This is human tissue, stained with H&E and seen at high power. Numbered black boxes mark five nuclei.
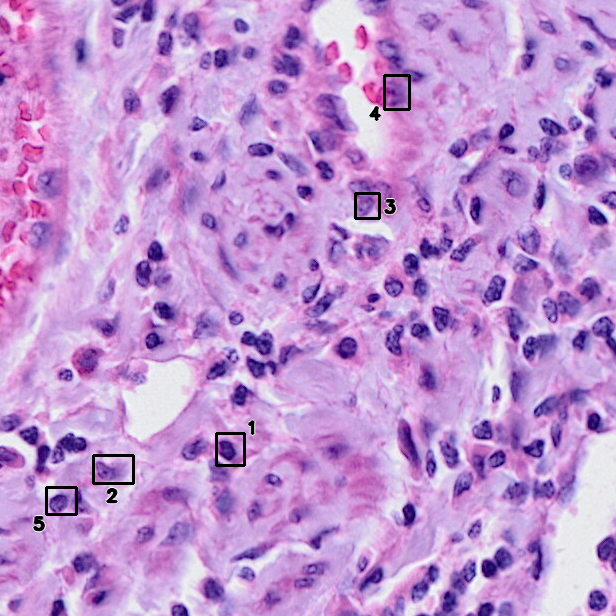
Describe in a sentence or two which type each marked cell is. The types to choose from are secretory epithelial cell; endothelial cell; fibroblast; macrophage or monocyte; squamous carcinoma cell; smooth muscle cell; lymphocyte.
Cells 1 and 5 are lymphocytes. Cell 2 is a macrophage or monocyte. Cells 3 and 4 are endothelial cells.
